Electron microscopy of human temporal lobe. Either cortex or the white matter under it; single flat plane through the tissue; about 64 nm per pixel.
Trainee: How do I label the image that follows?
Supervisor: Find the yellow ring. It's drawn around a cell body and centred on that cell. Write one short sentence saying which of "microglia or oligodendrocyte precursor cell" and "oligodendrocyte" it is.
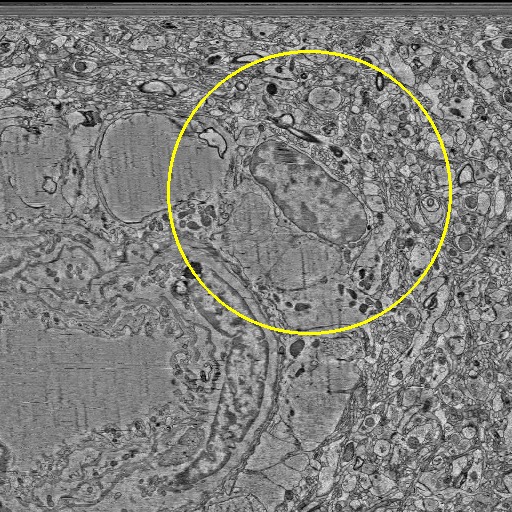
This is the cell body of a microglial cell or oligodendrocyte precursor cell.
